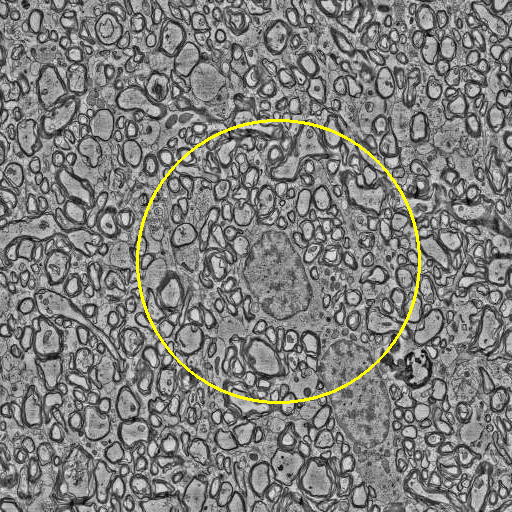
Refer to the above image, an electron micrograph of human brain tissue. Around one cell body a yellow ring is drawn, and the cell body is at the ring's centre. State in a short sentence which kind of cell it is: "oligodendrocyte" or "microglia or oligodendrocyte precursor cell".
The centre of the ring falls on an oligodendrocyte.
